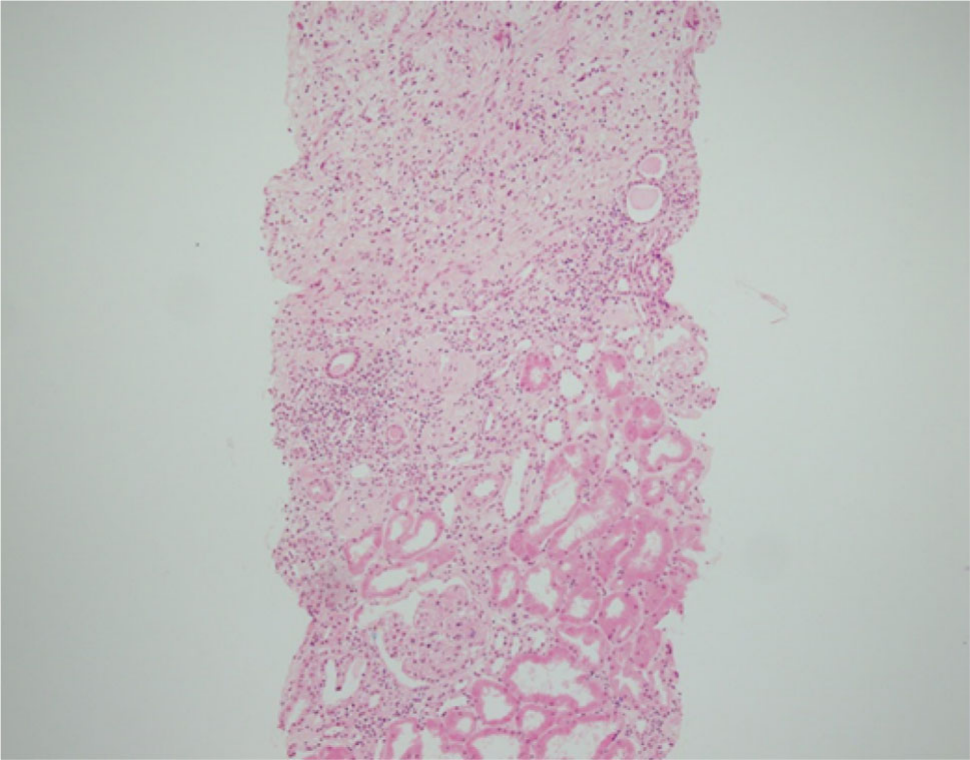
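A needle core of kidney in which the upper half is loose, pale pink, edematous fibrous tissue with scattered dark nuclei, while the lower half holds closely packed renal tubules lined by pink epithelium. Between the two, a band of densely crowded dark nuclei lies among small tubule profiles. No distinct capsule line separates the loose fibrous tissue from the tubules.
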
